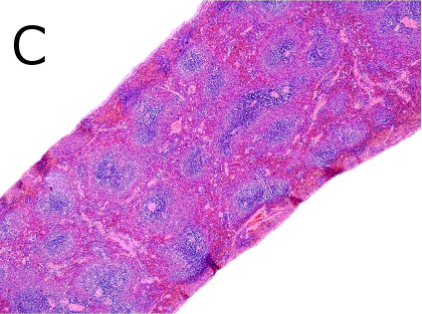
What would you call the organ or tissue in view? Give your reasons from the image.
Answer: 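Scattered rounded blue nodules of lymphocytes set in a pink-red, blood-rich tissue. Small vessels lie within the blue nodules.
Spleen.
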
